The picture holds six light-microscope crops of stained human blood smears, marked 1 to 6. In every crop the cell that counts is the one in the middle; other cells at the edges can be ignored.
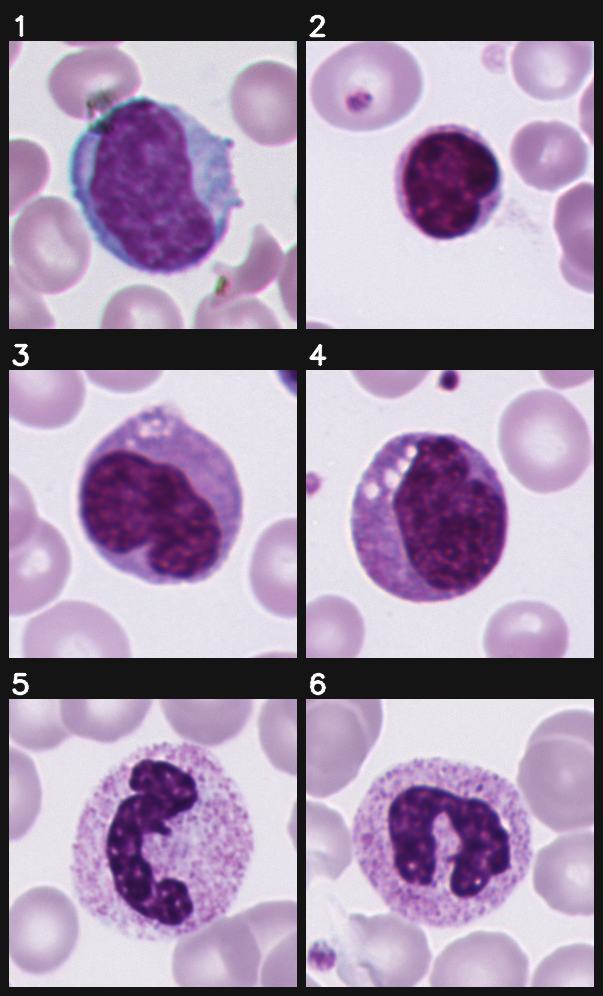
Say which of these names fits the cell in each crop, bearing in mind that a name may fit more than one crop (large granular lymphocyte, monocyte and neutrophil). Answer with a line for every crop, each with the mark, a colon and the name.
1: monocyte
2: large granular lymphocyte
3: monocyte
4: monocyte
5: neutrophil
6: neutrophil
